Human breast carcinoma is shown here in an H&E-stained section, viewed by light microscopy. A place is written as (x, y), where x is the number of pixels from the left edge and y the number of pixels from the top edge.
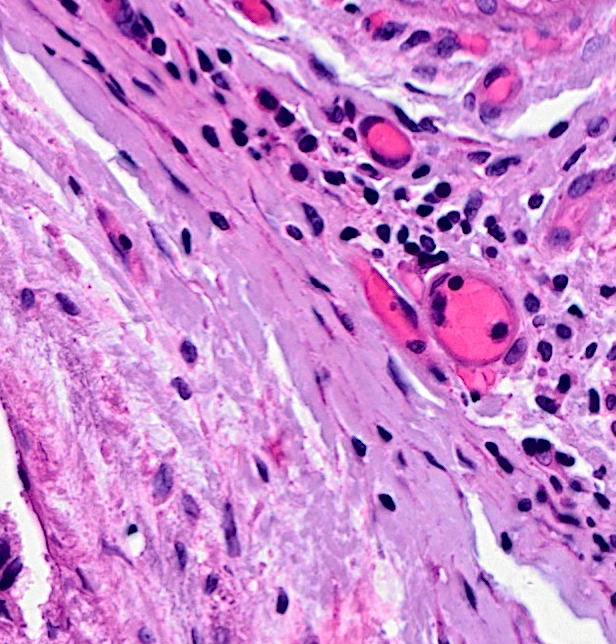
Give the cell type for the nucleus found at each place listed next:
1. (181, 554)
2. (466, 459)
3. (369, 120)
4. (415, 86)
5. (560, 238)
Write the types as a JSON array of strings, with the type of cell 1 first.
["fibroblast", "fibroblast", "endothelial cell", "fibroblast", "endothelial cell"]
